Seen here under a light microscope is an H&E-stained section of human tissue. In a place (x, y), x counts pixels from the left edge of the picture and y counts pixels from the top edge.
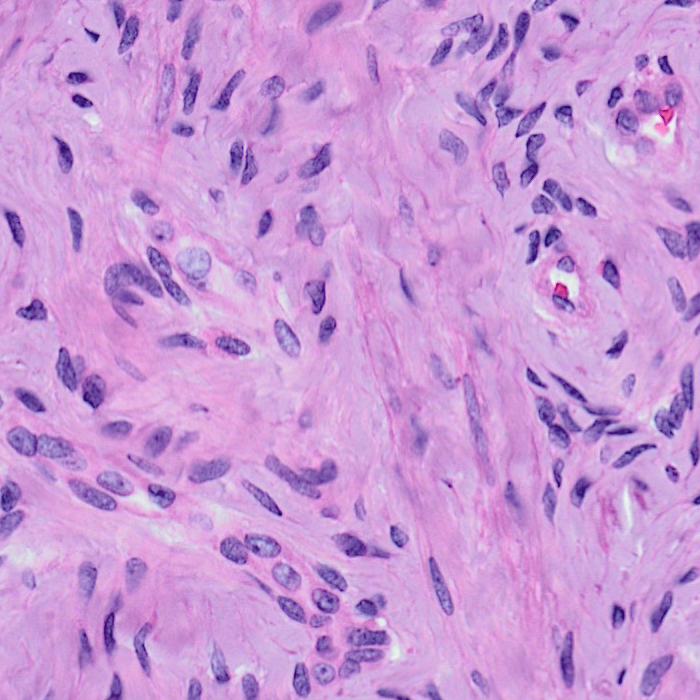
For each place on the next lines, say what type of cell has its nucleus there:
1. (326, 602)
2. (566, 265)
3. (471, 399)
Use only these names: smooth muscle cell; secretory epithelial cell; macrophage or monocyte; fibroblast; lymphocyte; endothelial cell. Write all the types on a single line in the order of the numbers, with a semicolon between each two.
endothelial cell; endothelial cell; smooth muscle cell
